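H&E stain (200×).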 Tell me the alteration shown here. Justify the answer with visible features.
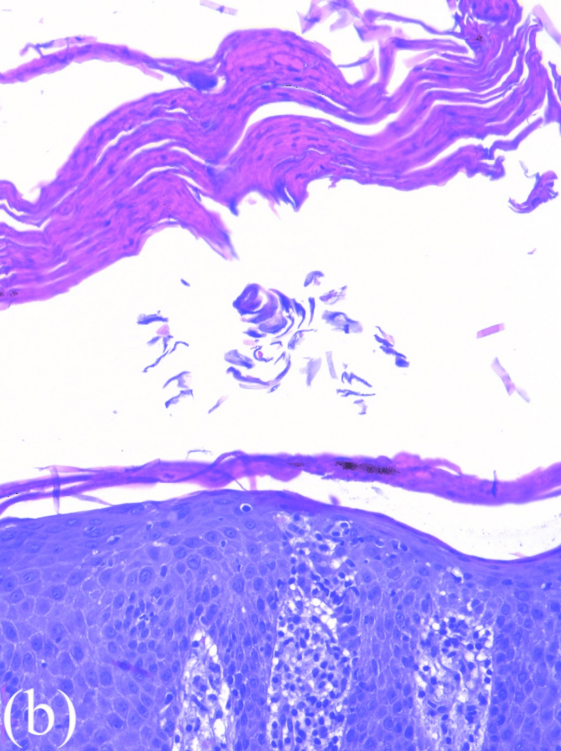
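Thinning of the suprapapillary plates. Dermal papillae with small vessels reach close to the surface. Only a thin layer of epidermis lies above the tips of the papillae compared with the thick epidermis between them.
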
